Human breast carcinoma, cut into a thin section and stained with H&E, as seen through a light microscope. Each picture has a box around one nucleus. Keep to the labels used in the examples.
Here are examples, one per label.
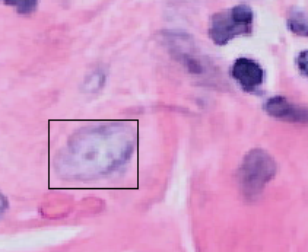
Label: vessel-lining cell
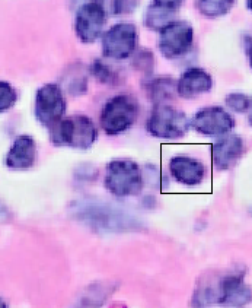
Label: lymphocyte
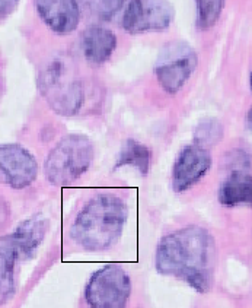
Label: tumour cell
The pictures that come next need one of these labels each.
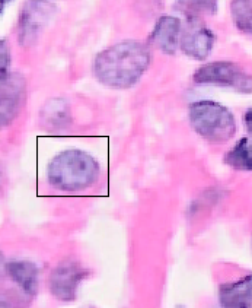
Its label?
tumour cell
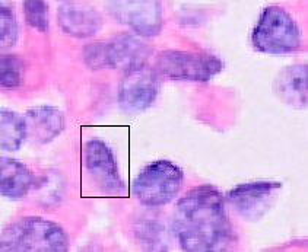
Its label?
tumour cell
